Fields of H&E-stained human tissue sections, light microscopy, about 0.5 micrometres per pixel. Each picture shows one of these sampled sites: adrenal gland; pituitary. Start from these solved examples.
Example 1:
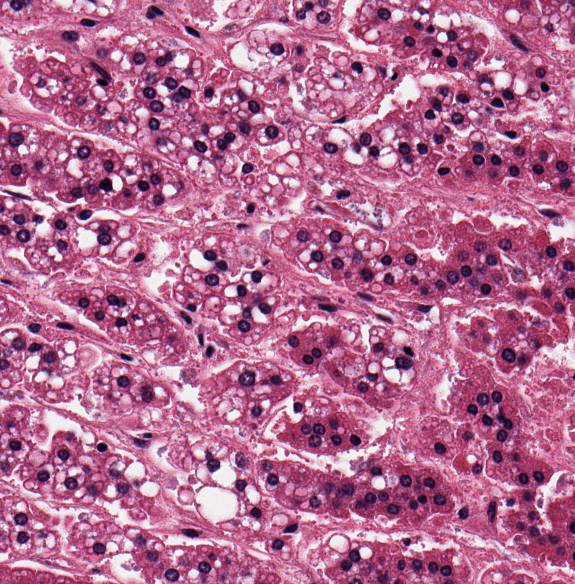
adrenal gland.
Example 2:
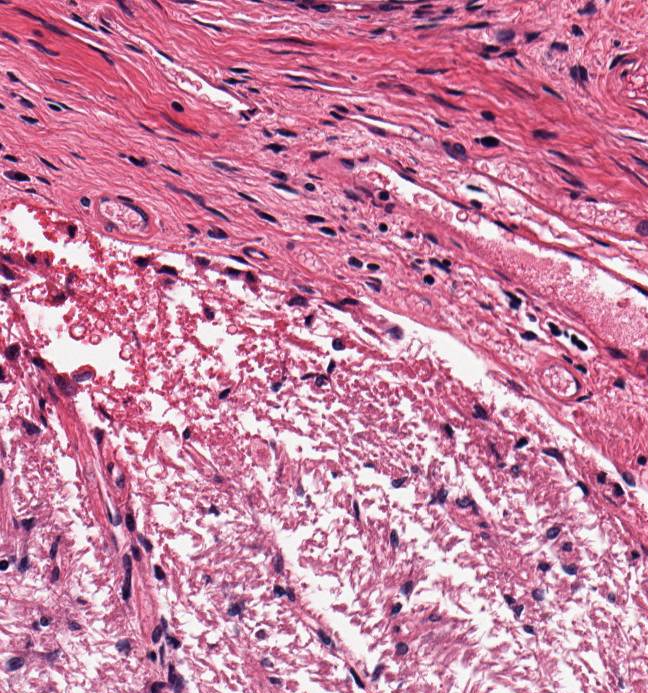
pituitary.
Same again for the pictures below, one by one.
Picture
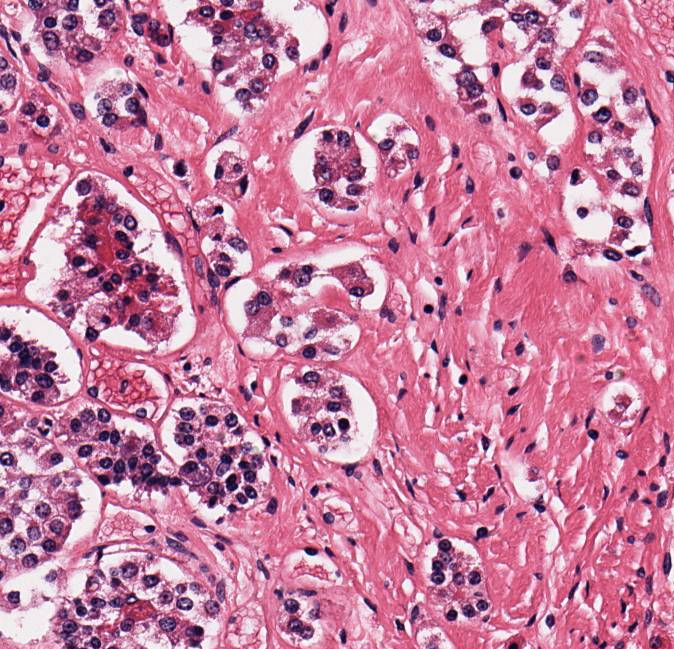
pituitary.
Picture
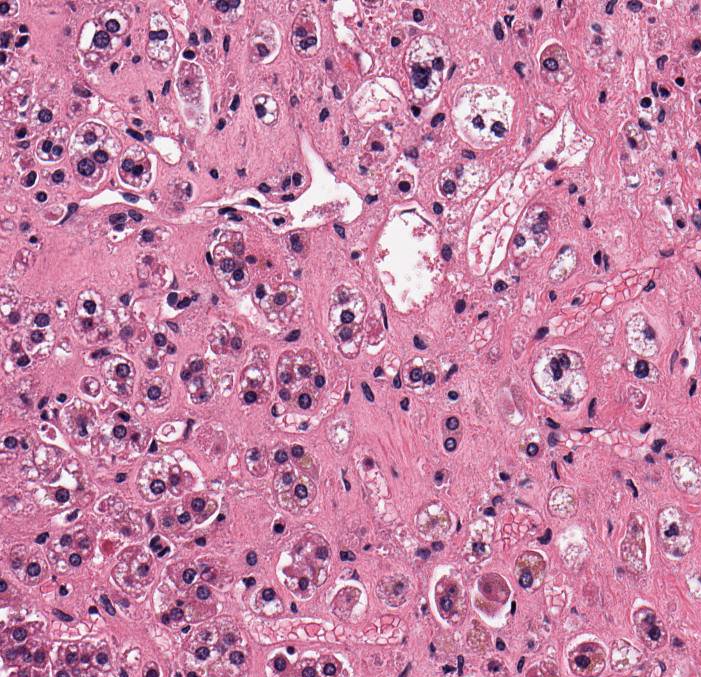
adrenal gland.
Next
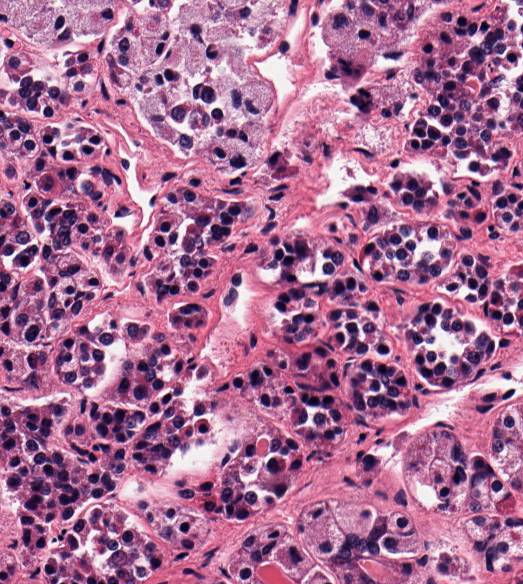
pituitary.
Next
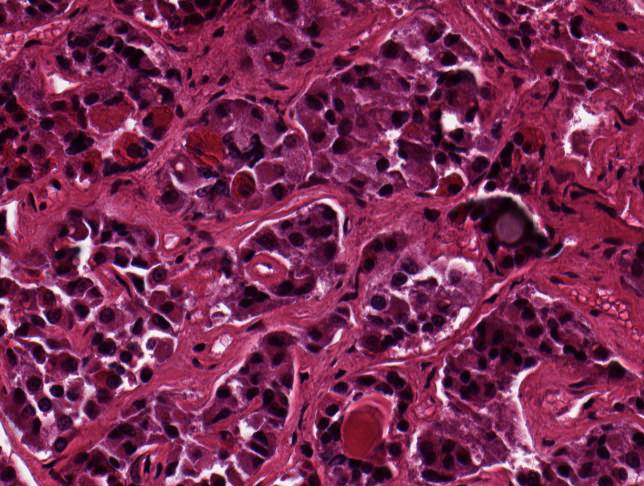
pituitary.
